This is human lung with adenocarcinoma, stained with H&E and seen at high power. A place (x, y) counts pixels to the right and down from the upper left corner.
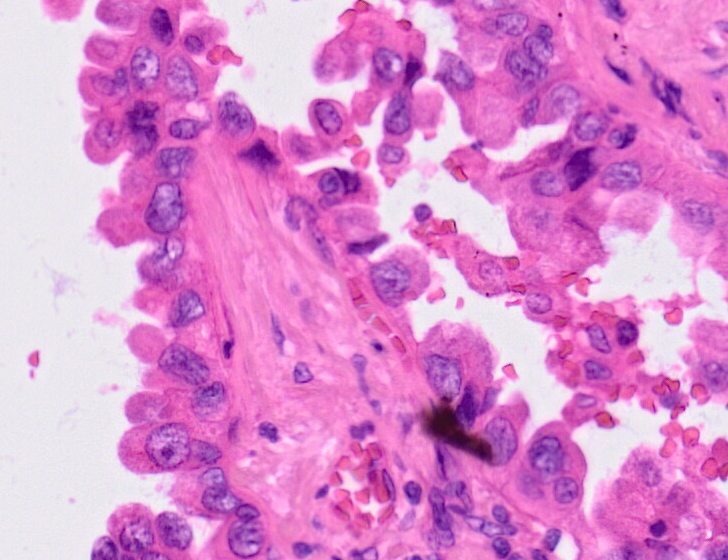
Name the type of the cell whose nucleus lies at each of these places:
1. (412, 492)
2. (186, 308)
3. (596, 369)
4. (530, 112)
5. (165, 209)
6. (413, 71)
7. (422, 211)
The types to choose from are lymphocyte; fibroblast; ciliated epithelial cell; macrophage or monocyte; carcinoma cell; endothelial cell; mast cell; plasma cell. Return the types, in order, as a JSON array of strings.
["lymphocyte", "carcinoma cell", "macrophage or monocyte", "carcinoma cell", "carcinoma cell", "carcinoma cell", "lymphocyte"]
